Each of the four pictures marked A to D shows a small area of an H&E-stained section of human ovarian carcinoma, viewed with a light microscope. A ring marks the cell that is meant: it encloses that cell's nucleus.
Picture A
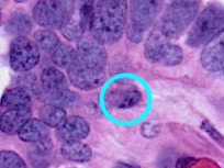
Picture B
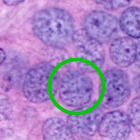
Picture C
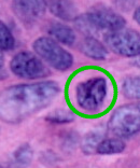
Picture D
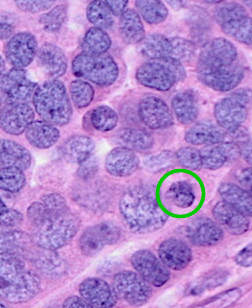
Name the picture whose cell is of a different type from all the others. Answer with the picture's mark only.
B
